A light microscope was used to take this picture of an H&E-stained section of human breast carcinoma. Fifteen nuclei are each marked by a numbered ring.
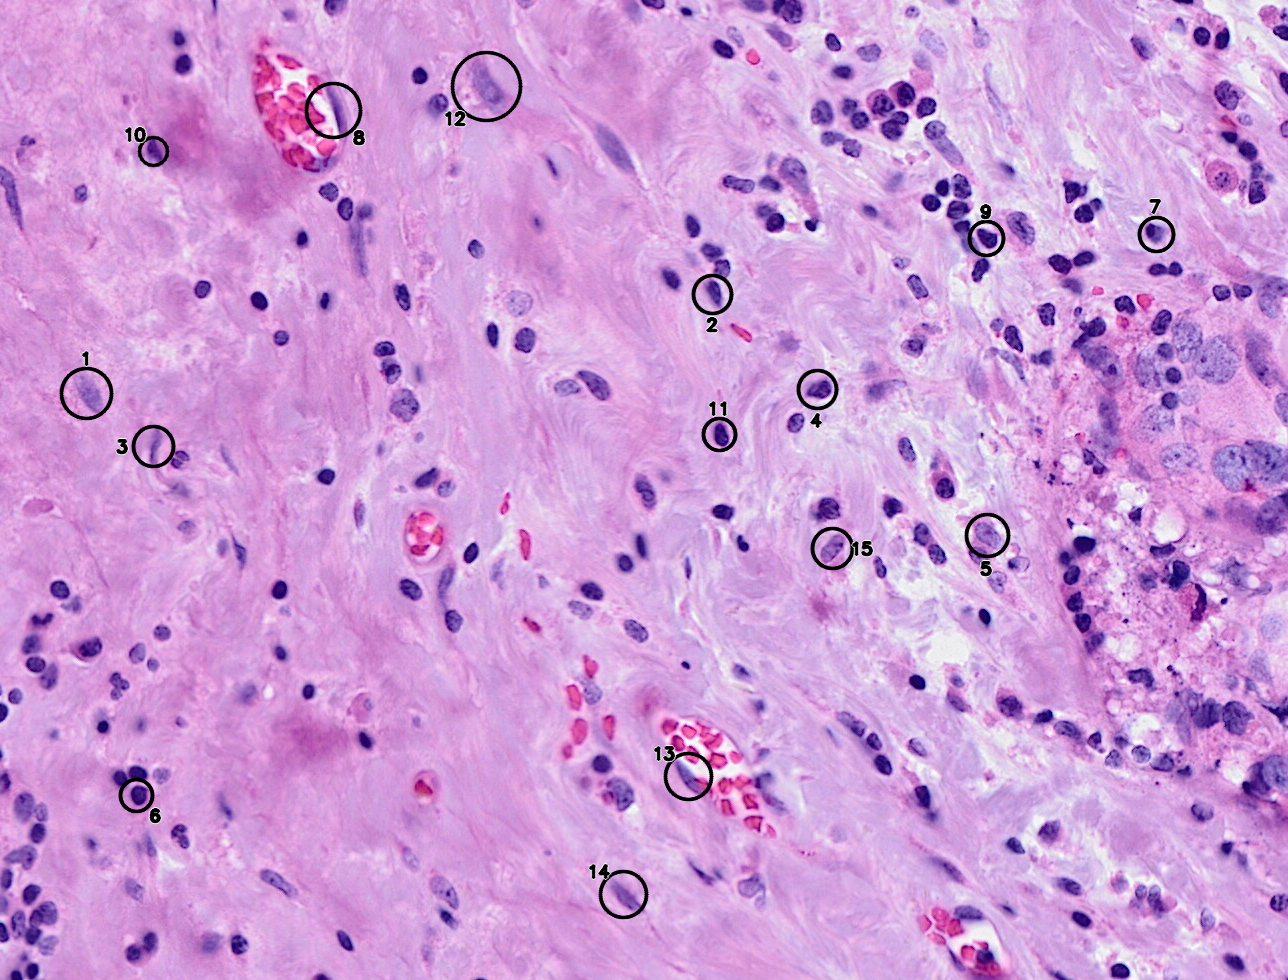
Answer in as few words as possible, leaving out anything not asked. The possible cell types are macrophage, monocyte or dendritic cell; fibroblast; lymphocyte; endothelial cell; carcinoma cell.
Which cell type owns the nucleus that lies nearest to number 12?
macrophage, monocyte or dendritic cell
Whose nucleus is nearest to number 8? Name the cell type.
endothelial cell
